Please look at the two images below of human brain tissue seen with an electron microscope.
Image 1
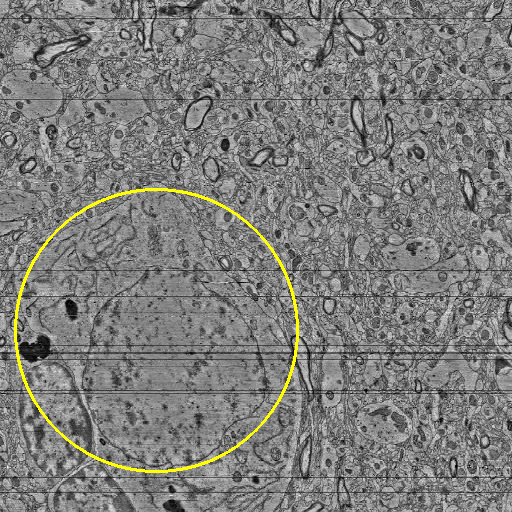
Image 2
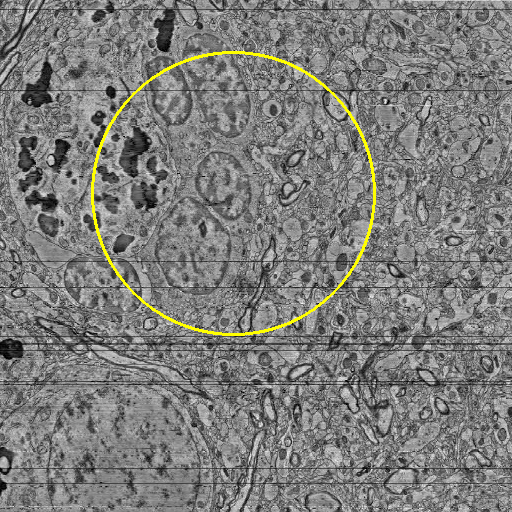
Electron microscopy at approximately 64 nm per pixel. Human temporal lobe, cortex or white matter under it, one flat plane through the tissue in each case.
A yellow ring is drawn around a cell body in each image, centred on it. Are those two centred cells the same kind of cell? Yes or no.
no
